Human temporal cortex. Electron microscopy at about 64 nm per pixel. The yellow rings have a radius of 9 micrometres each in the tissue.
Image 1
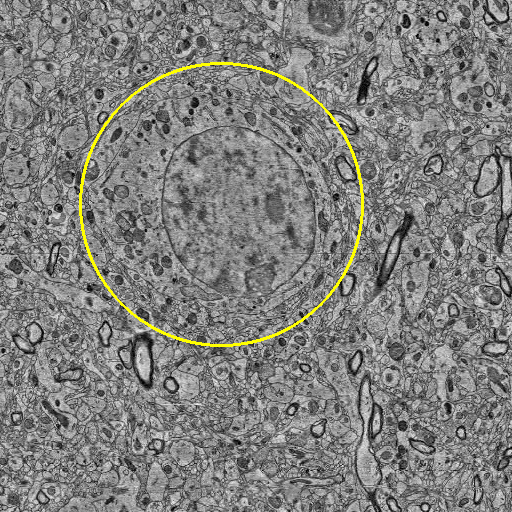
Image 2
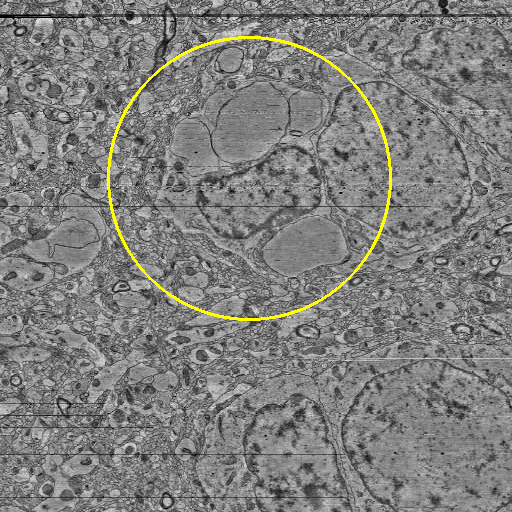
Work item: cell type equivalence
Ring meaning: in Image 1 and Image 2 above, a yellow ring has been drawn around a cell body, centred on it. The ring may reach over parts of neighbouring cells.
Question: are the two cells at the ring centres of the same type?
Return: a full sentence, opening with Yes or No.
No, the two centred cells are of two types.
